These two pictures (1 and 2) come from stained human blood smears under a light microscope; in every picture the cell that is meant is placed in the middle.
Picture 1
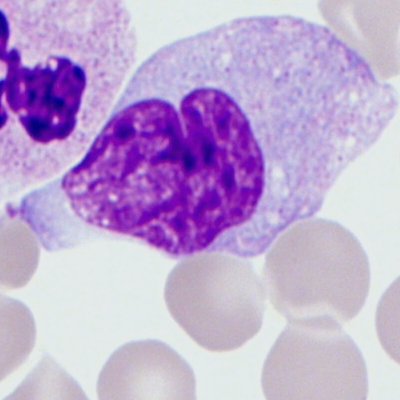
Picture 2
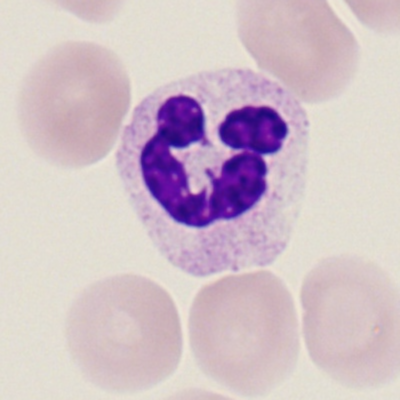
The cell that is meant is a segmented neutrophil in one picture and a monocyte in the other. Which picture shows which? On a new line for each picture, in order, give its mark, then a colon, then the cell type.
1: monocyte
2: segmented neutrophil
